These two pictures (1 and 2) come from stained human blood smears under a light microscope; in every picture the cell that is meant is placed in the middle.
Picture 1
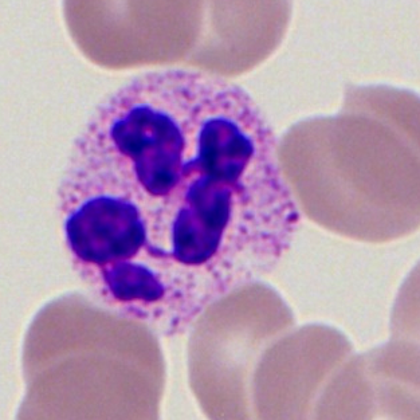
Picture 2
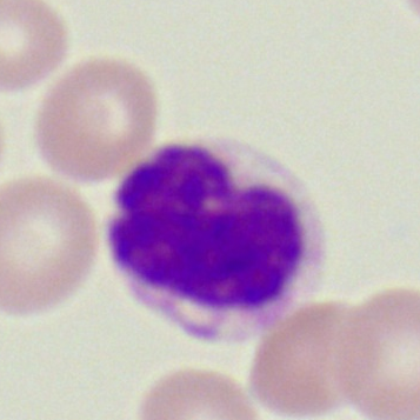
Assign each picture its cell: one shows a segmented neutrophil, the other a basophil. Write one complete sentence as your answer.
Picture 1 is of a segmented neutrophil, and picture 2 is of a basophil.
